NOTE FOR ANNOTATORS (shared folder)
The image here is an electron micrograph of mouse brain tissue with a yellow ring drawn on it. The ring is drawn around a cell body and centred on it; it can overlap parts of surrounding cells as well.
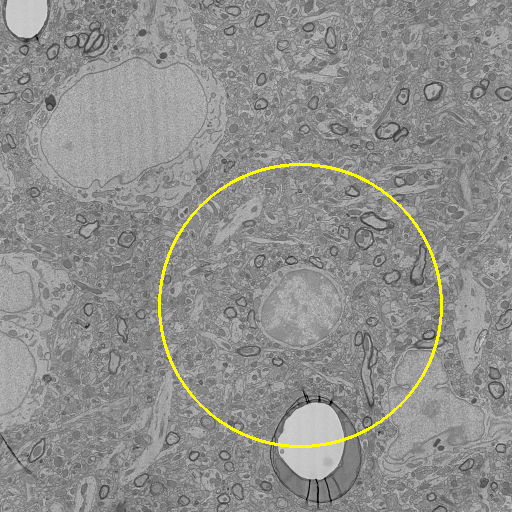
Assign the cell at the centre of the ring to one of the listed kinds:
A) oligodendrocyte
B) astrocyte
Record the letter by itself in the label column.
A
